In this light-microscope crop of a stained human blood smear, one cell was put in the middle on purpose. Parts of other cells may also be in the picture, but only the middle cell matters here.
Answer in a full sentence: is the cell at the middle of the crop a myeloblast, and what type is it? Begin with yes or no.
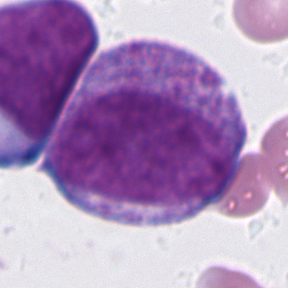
No, the cell in the centre is to be called a promyelocyte instead of a myeloblast.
